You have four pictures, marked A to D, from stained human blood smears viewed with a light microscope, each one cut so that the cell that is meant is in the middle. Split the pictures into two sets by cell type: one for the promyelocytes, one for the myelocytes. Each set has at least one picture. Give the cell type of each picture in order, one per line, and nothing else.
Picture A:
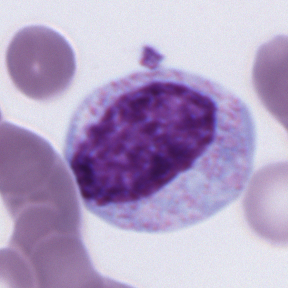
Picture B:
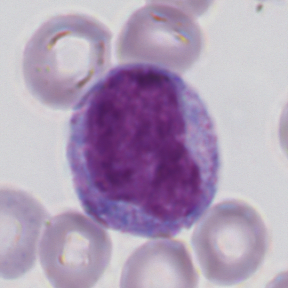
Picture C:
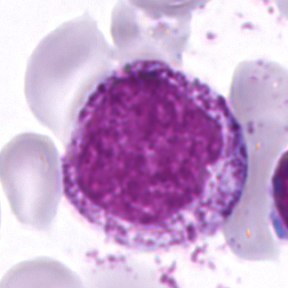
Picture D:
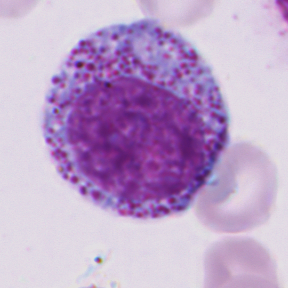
myelocyte
promyelocyte
myelocyte
promyelocyte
